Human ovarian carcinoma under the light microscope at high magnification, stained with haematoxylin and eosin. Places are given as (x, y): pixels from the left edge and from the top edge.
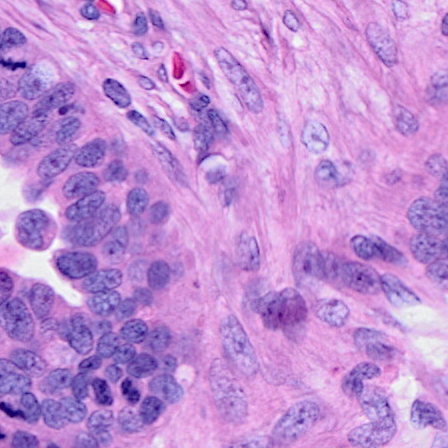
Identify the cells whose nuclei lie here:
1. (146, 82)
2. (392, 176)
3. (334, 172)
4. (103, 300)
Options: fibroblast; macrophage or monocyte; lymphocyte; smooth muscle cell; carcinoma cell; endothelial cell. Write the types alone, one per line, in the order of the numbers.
fibroblast
fibroblast
fibroblast
carcinoma cell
